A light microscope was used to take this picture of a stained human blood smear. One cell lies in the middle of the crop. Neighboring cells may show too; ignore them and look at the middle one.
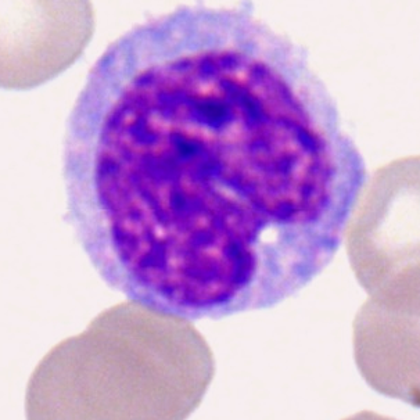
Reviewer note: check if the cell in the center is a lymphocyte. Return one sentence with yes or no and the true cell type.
No, instead of a lymphocyte, the middle cell is a monocyte.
